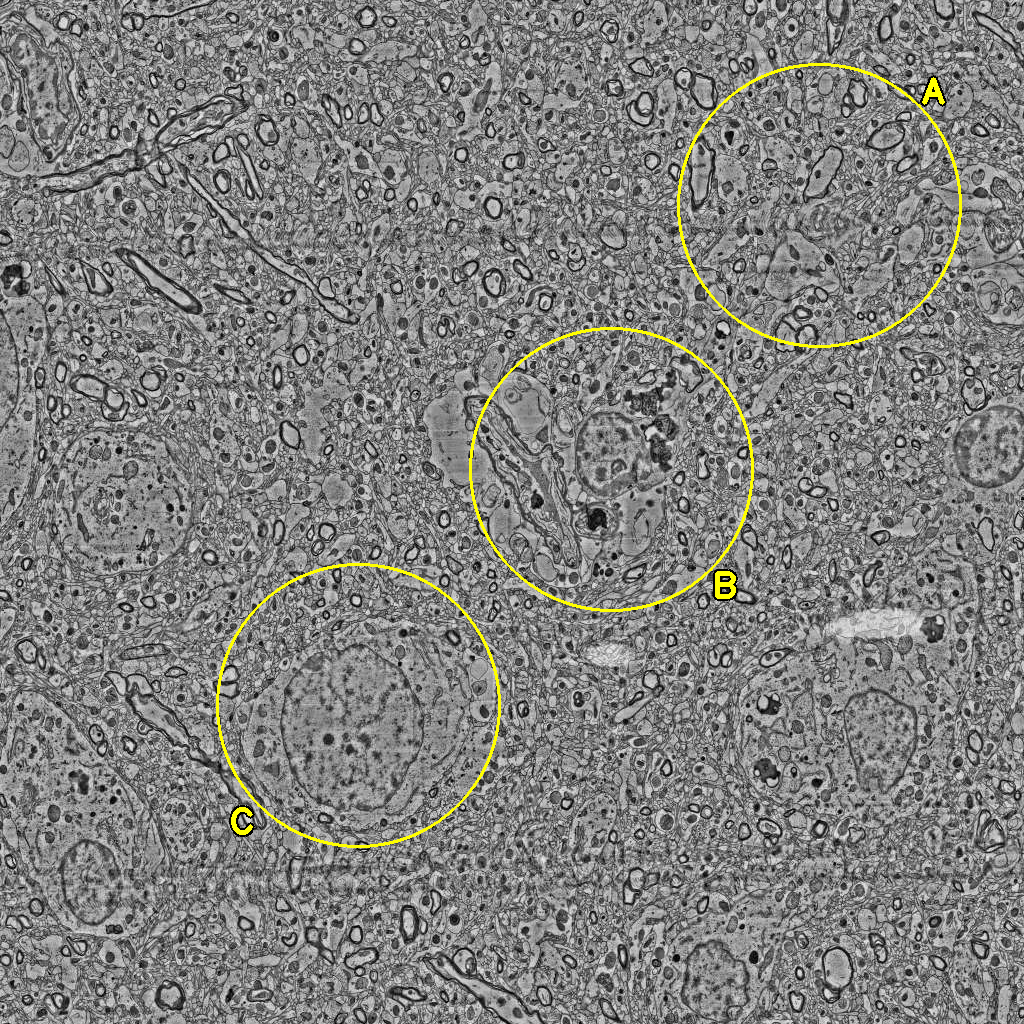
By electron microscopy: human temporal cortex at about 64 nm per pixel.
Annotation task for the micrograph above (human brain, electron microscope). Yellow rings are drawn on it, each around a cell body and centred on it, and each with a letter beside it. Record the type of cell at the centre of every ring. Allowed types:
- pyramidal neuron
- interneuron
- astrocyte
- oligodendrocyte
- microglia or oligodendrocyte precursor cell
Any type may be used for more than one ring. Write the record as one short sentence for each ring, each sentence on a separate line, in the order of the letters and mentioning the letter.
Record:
The cell centred in ring A is an oligodendrocyte.
The cell centred in ring B is an oligodendrocyte.
The cell centred in ring C is an interneuron.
